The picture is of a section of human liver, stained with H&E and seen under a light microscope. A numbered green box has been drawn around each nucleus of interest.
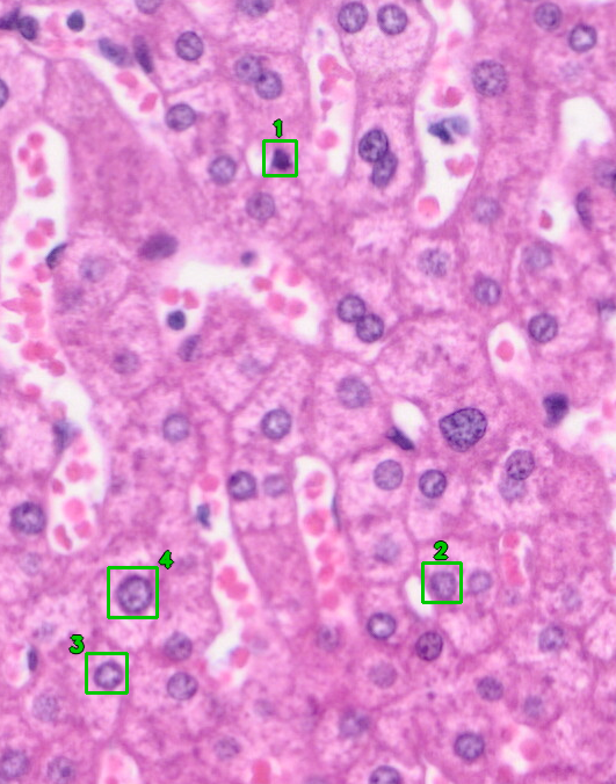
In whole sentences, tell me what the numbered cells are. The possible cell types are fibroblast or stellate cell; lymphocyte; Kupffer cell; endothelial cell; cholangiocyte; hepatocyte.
Cell 1 is a fibroblast or stellate cell, cell 2 is a hepatocyte, cell 3 is a hepatocyte and cell 4 is a hepatocyte.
